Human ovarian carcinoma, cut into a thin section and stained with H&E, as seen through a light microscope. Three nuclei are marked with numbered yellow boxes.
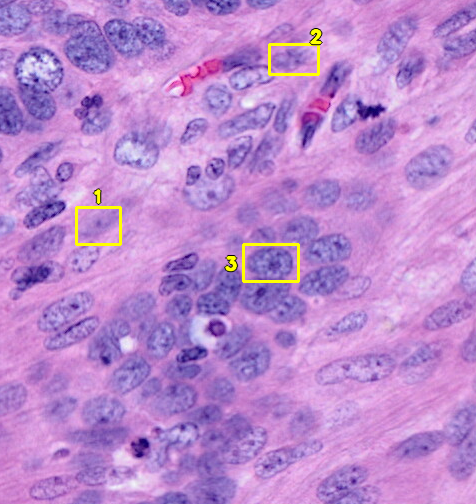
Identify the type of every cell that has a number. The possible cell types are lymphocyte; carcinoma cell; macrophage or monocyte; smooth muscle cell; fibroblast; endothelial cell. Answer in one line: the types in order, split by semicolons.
fibroblast; endothelial cell; carcinoma cell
